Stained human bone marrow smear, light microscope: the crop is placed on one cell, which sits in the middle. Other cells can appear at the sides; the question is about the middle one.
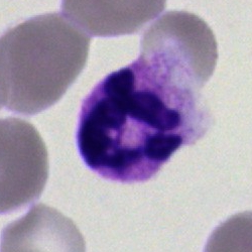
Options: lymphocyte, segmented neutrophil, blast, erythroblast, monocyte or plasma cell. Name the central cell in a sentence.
The cell at the middle of the frame should be recorded as a segmented neutrophil.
